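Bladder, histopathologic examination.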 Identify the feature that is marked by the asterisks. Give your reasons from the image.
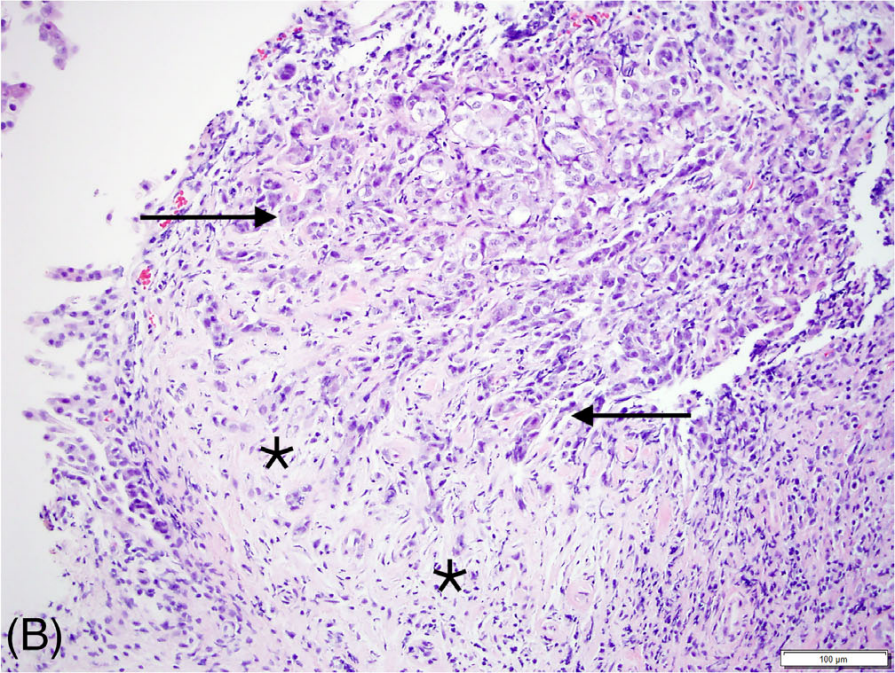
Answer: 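Pale pink fibrous stroma with scattered spindle-shaped nuclei. Single cells lie scattered within the fibrous stroma. That points to this answer: scirrhous (desmoplastic) fibrous tissue.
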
